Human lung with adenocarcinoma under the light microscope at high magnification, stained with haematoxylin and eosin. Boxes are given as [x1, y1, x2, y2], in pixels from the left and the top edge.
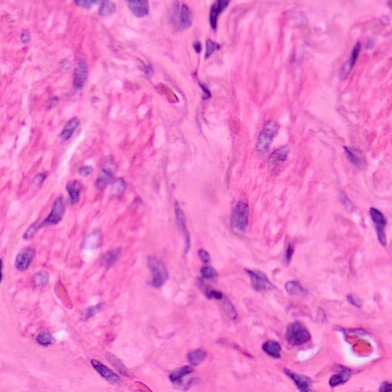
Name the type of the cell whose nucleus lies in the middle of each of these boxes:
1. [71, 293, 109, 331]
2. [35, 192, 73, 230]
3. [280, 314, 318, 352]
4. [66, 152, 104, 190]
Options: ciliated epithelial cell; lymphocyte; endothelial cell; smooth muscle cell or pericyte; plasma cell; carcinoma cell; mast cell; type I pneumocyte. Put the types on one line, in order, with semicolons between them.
smooth muscle cell or pericyte; smooth muscle cell or pericyte; plasma cell; smooth muscle cell or pericyte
